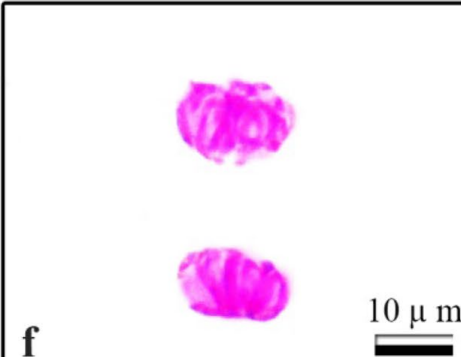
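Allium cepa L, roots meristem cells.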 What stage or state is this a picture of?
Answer: Telophase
